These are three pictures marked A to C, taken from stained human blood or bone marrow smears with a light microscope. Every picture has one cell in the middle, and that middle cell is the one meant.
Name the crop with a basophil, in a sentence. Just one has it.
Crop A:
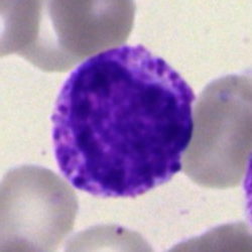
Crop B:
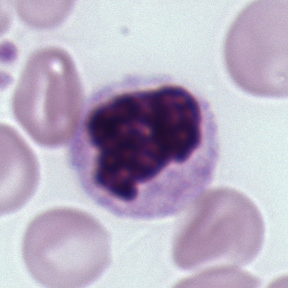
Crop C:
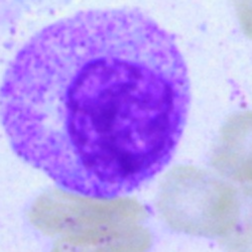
Crop A is the one to choose: it shows a basophil.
